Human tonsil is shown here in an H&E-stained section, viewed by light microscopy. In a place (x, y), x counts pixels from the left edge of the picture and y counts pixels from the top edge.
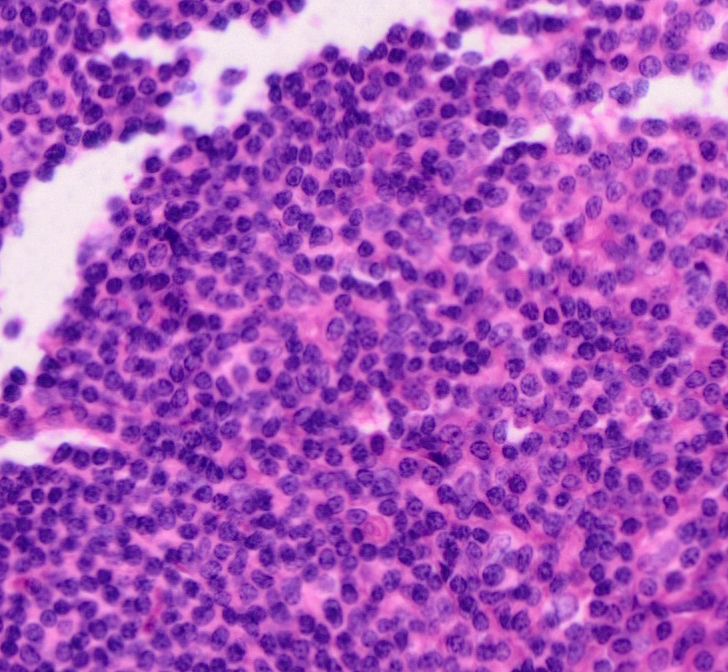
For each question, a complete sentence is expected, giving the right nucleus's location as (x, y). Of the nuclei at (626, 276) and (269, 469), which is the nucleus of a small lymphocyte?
The nucleus of a small lymphocyte lies at (269, 469), not at the other position.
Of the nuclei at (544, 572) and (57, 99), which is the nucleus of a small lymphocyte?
The member of the pair belonging to a small lymphocyte is the nucleus at (57, 99).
